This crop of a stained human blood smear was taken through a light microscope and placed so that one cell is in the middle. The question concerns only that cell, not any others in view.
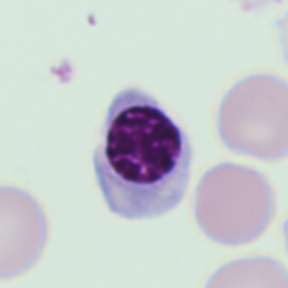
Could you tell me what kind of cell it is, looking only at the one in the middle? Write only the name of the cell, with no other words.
normoblast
